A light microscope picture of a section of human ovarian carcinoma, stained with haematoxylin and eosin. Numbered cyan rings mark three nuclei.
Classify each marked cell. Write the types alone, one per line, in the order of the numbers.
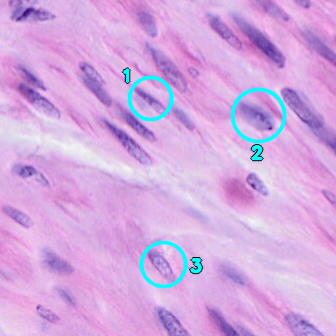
smooth muscle cell
fibroblast
smooth muscle cell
